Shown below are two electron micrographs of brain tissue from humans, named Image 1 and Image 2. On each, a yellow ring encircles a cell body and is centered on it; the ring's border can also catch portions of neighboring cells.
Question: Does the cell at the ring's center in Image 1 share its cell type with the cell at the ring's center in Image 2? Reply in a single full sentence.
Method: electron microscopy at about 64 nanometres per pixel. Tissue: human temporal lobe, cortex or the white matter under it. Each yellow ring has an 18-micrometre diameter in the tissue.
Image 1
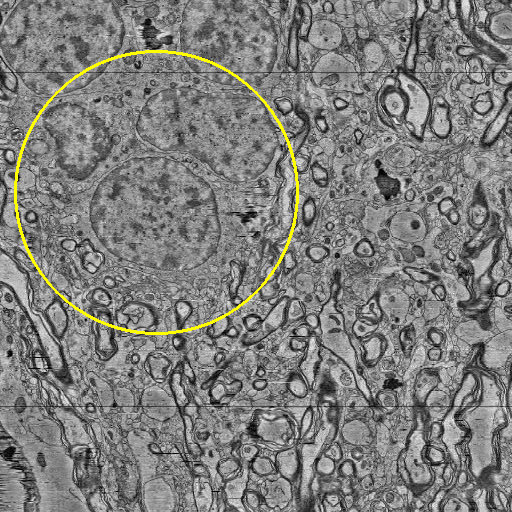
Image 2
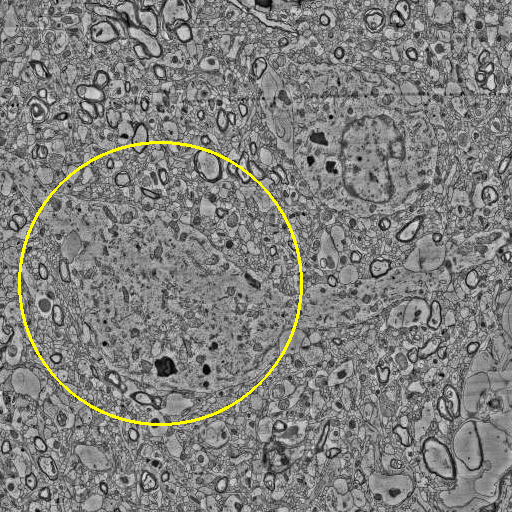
No, the two cells at the ring centers, in Image 1 and Image 2, are of two cell types.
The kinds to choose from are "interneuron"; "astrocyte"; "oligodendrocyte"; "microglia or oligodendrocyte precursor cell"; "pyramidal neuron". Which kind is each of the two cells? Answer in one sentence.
Of the two, the first cell is an oligodendrocyte and the second cell is a pyramidal neuron.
